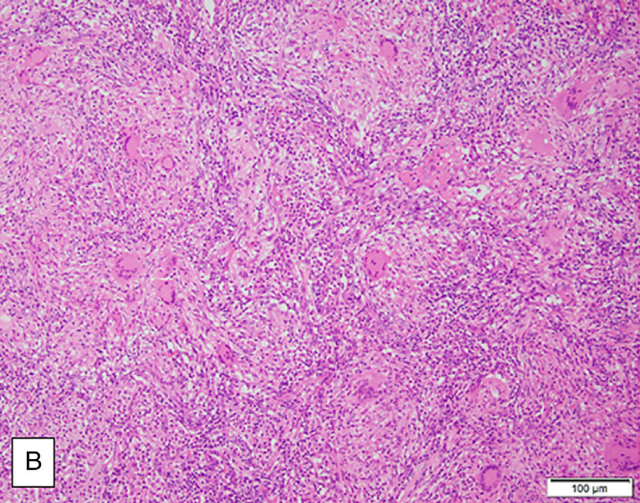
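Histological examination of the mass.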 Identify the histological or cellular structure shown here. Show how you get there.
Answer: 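Epithelioid cell granulomas. Pale pink clusters of elongated cells with oval nuclei. Giant cells lie within these pale clusters. Denser bands of small dark nuclei lie between the pale clusters.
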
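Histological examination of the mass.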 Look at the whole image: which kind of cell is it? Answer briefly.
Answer: multinucleated giant cells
